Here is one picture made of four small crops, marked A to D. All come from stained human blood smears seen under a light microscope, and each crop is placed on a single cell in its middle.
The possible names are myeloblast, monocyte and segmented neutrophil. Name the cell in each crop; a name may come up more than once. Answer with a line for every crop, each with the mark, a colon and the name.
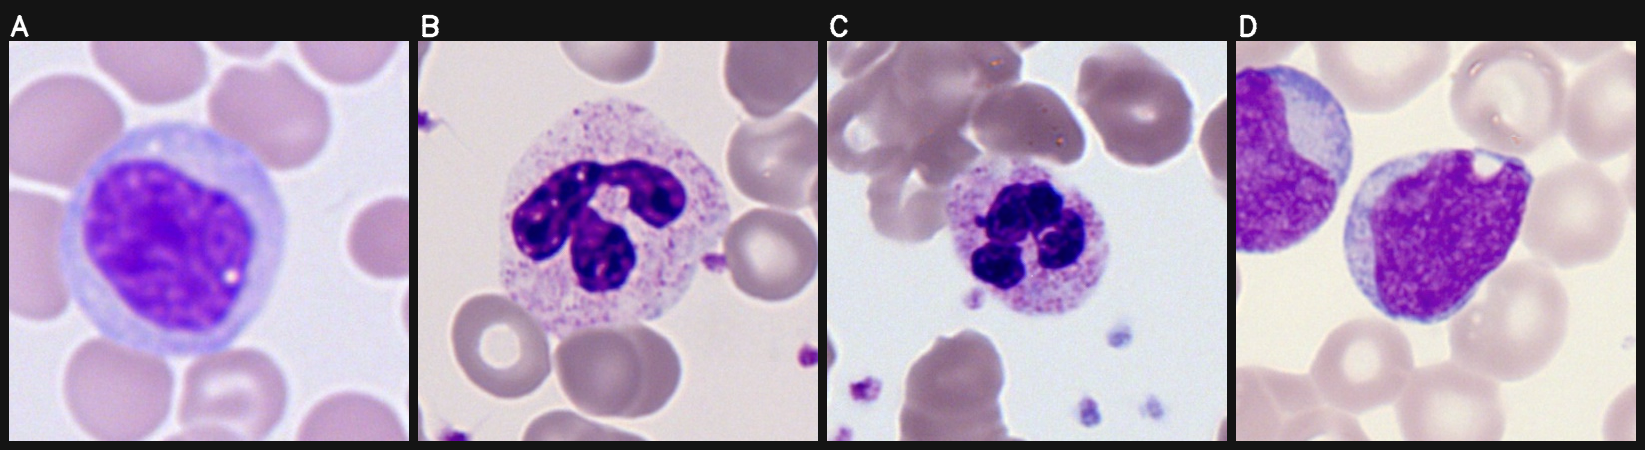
A: monocyte
B: segmented neutrophil
C: segmented neutrophil
D: myeloblast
